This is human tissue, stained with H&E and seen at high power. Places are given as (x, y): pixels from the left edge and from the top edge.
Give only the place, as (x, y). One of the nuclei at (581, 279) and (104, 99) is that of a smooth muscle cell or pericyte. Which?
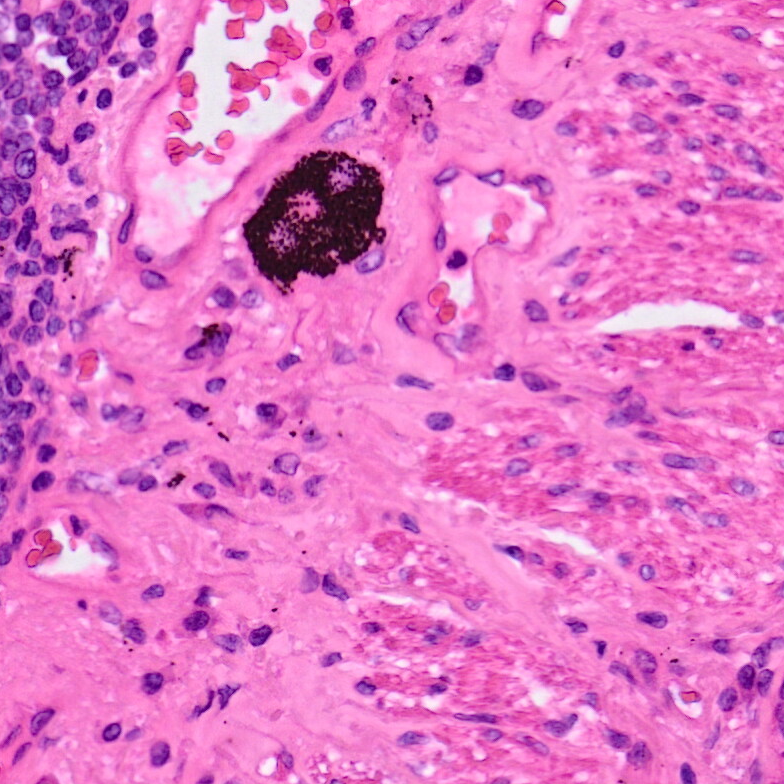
(581, 279)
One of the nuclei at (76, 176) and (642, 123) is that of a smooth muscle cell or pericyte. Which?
(642, 123)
